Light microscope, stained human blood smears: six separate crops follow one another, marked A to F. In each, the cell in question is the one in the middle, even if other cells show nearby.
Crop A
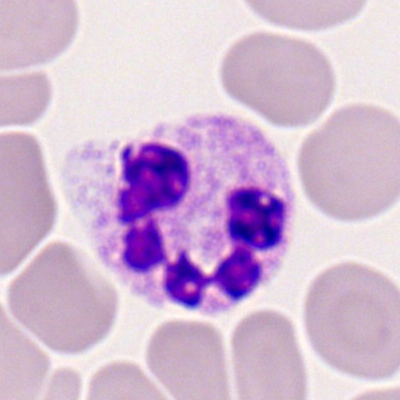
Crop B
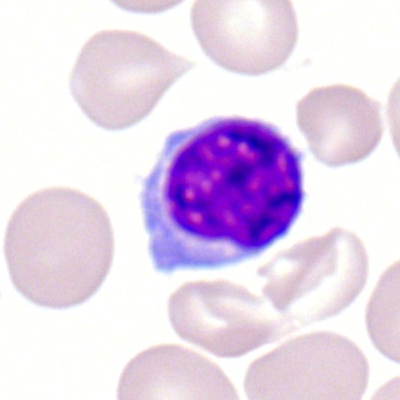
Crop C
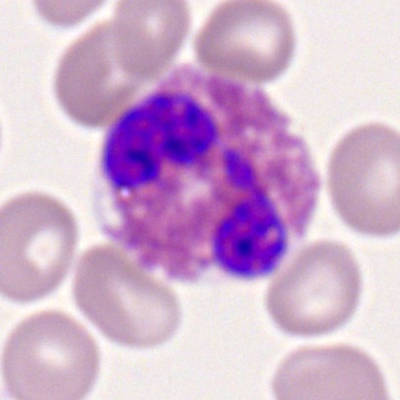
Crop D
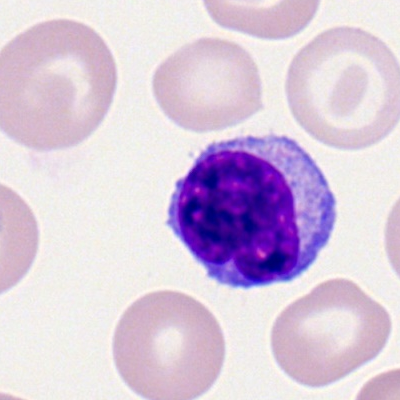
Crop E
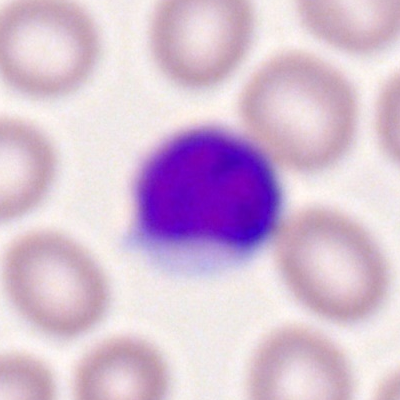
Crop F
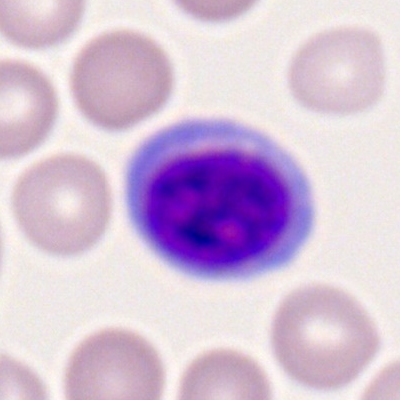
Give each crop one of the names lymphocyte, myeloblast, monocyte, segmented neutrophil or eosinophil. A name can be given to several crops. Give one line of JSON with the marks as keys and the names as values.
{"A": "segmented neutrophil", "B": "lymphocyte", "C": "eosinophil", "D": "lymphocyte", "E": "lymphocyte", "F": "lymphocyte"}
